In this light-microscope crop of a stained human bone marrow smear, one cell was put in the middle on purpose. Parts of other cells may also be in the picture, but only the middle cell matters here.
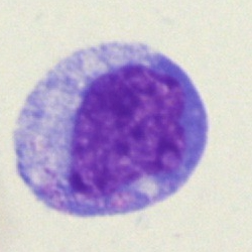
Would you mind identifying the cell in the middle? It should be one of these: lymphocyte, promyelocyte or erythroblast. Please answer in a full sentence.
By type, the central cell of the crop is a promyelocyte.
